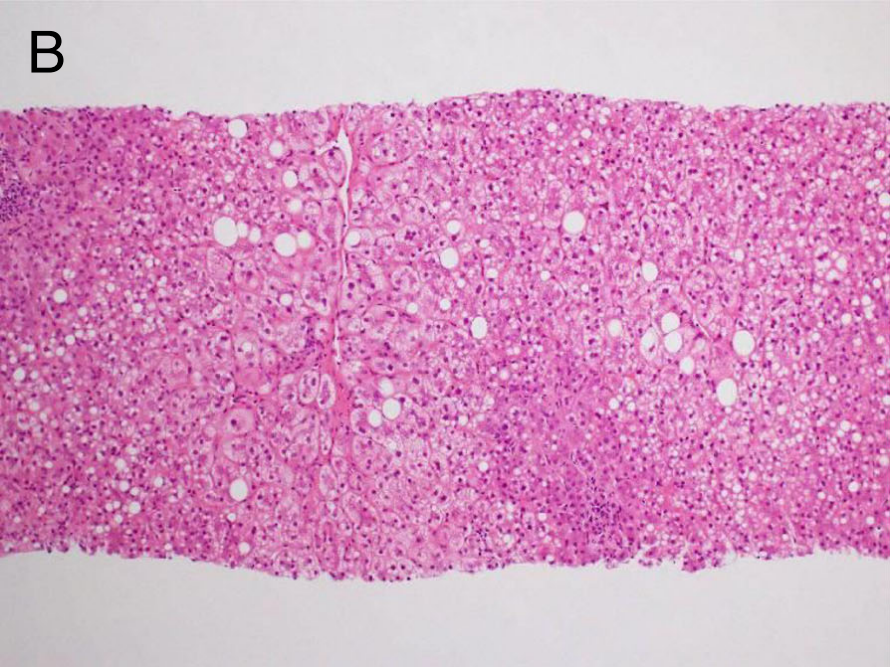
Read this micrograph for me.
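Liver tissue formed by sheets and plates of polygonal hepatocytes with pink cytoplasm and round central nuclei. Round clear lipid droplets are scattered through the tissue, a few large and many small, but most of each cell remains pink cytoplasm. Some hepatocytes have a pale, finely clear cytoplasm. Small clusters of dark small nuclei lie at the left edge and in the lower middle of the tissue.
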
